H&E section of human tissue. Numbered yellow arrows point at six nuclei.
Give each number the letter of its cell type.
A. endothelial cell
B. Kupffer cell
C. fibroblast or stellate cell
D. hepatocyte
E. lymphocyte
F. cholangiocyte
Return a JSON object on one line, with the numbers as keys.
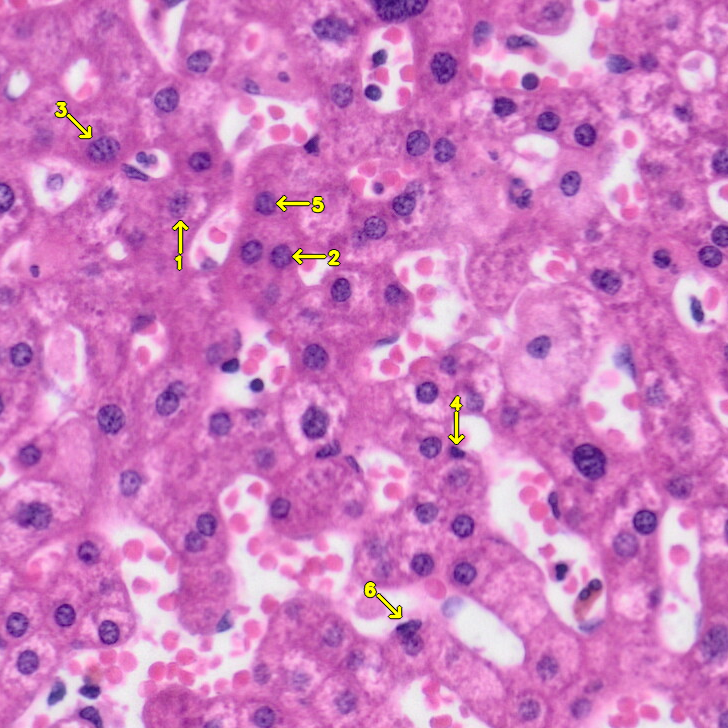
{"1": "D", "2": "D", "3": "D", "4": "C", "5": "D", "6": "C"}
